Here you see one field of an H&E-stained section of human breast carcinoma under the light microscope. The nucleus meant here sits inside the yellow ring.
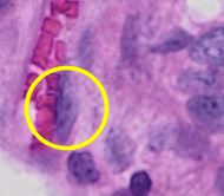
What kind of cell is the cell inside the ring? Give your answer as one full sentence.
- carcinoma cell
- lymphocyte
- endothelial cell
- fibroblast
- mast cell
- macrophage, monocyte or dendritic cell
The cell inside the ring appears to be an endothelial cell.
